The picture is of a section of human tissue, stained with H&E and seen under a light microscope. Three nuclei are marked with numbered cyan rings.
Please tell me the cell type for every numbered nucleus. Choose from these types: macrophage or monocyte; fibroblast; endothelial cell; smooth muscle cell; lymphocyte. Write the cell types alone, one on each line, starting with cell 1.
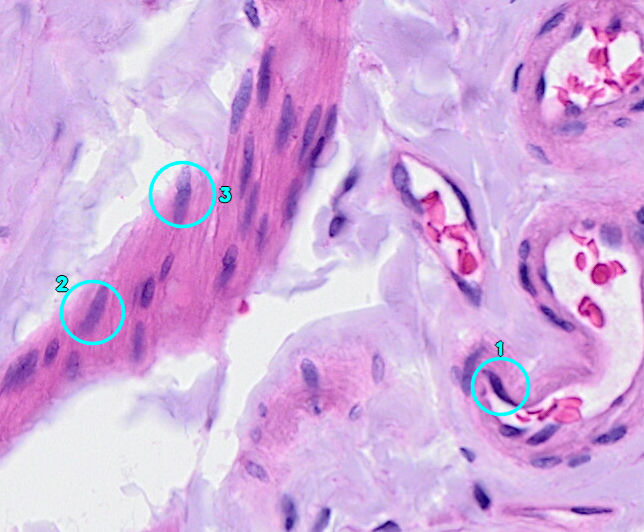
endothelial cell
smooth muscle cell
smooth muscle cell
